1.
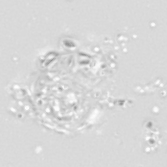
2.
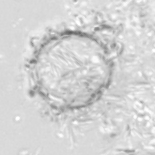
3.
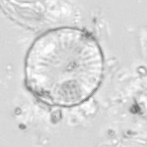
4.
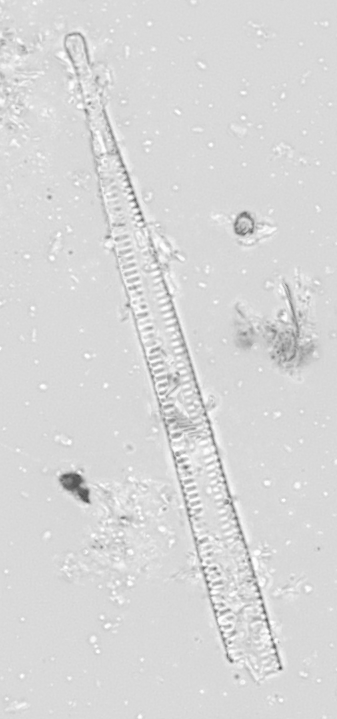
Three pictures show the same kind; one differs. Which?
Picture 4: Tabularia, while the others are Stephanodiscus.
